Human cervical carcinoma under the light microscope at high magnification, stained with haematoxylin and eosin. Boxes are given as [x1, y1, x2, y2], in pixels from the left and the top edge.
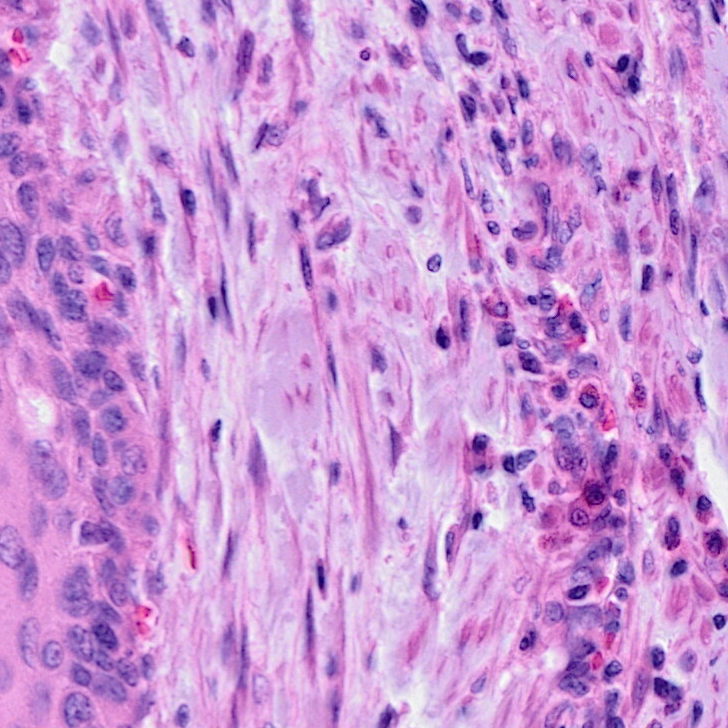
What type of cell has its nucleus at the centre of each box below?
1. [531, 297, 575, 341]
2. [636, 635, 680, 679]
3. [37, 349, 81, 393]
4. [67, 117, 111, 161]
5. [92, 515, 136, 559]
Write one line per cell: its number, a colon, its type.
1: endothelial cell
2: lymphocyte
3: squamous carcinoma cell
4: fibroblast
5: squamous carcinoma cell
